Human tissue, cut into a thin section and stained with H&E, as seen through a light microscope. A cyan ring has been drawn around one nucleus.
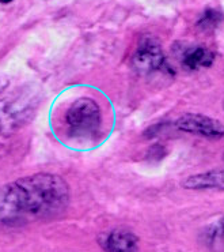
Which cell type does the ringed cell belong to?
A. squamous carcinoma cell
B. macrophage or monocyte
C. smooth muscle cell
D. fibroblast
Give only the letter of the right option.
B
